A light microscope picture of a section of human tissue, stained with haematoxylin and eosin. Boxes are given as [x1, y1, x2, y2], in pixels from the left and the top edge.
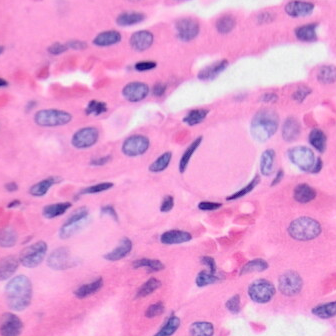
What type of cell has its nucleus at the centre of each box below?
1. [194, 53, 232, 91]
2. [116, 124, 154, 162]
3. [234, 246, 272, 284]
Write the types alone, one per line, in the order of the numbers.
loop of Henle or distal tubule cell
loop of Henle or distal tubule cell
endothelial cell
